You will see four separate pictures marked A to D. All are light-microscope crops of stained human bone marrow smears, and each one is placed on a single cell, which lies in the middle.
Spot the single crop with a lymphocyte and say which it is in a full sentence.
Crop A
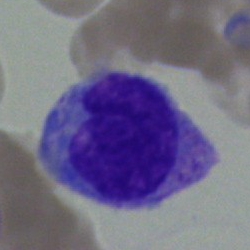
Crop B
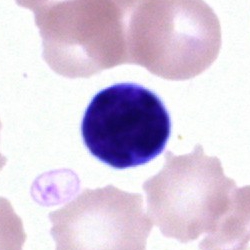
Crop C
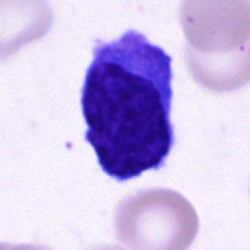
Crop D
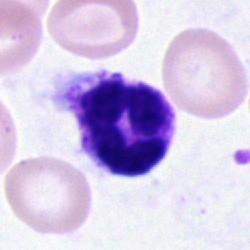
That would be crop B; it shows a lymphocyte.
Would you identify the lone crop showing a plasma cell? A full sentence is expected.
Crop C alone, of all the crops, shows a plasma cell.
